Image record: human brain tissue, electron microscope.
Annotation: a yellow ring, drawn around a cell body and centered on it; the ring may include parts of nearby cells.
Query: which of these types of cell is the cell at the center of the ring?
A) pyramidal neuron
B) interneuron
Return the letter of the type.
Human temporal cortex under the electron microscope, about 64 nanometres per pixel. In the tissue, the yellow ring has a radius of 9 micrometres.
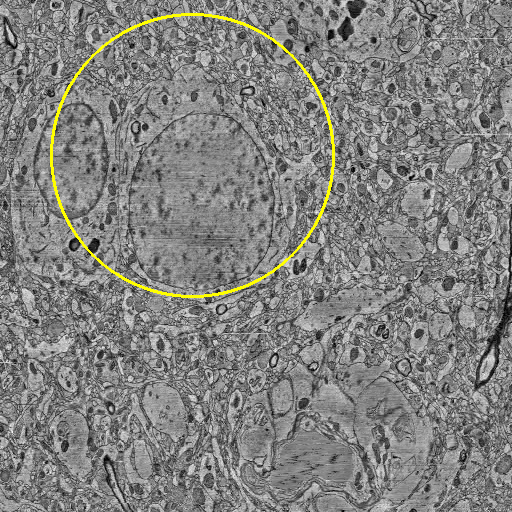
A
